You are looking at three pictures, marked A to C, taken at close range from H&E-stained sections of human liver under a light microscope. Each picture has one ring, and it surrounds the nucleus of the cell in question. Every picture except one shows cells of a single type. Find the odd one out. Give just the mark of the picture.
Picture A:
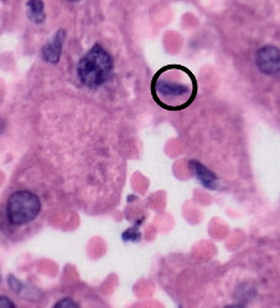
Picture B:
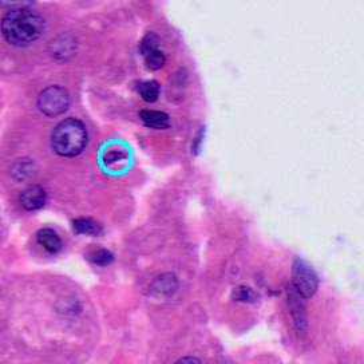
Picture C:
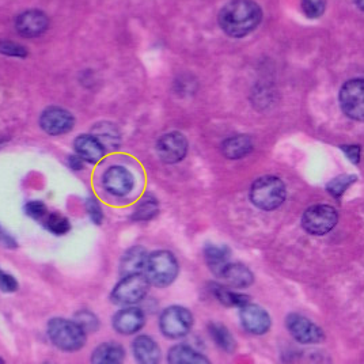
C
